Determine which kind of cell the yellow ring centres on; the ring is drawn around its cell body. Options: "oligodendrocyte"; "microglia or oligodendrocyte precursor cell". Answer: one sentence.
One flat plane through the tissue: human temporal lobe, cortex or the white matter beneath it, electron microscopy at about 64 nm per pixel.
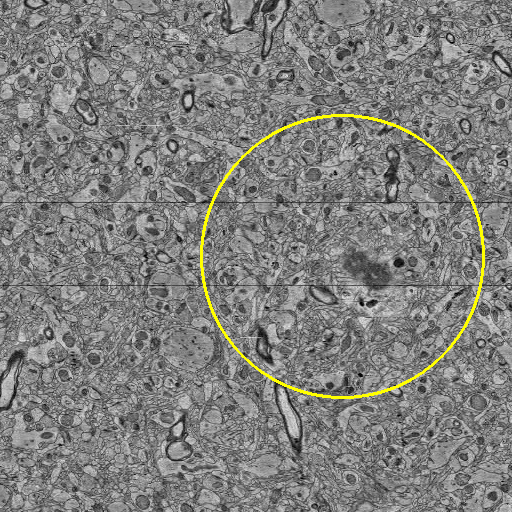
The ring centres on a microglial cell or oligodendrocyte precursor cell.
